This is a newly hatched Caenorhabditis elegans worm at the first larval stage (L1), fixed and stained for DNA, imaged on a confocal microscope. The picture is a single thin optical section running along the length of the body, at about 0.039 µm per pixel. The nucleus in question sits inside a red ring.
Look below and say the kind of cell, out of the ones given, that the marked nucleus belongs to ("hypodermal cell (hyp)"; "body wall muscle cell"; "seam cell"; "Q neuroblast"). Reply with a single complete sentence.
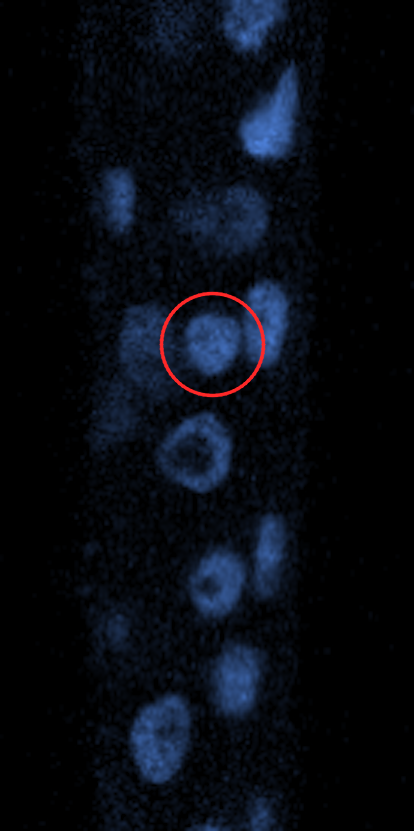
It is the nucleus of a Q neuroblast.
